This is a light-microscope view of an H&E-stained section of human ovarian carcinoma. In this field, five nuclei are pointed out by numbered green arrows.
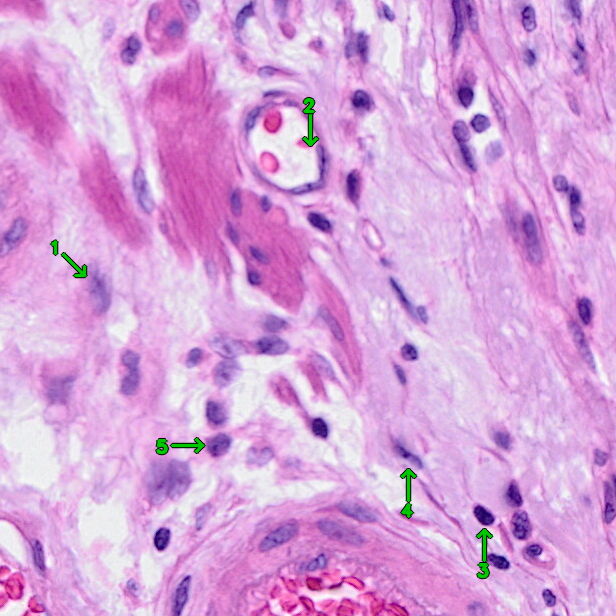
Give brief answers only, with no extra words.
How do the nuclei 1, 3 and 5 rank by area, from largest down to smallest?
1, 5, 3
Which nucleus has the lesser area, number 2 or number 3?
3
